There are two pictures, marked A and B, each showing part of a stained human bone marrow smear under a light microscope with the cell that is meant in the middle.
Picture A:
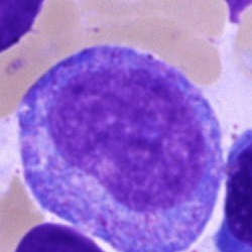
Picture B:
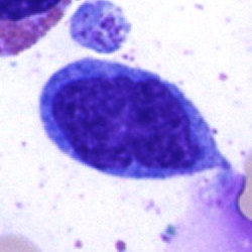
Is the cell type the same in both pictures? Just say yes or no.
no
